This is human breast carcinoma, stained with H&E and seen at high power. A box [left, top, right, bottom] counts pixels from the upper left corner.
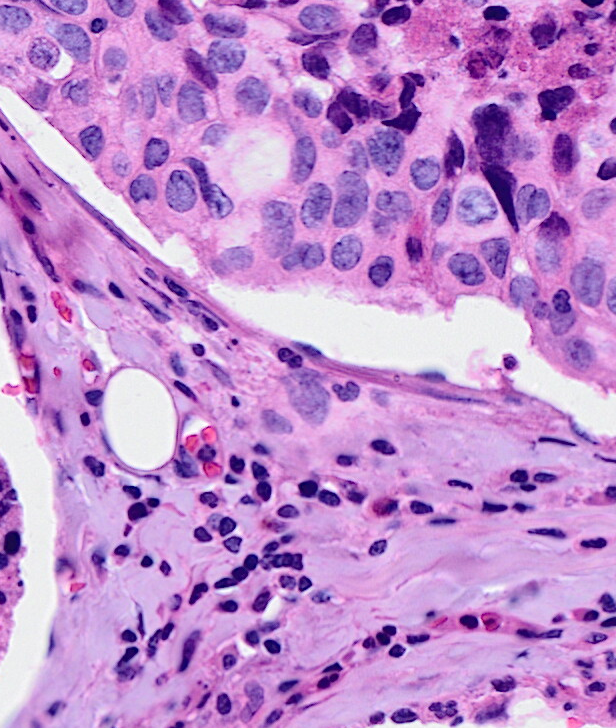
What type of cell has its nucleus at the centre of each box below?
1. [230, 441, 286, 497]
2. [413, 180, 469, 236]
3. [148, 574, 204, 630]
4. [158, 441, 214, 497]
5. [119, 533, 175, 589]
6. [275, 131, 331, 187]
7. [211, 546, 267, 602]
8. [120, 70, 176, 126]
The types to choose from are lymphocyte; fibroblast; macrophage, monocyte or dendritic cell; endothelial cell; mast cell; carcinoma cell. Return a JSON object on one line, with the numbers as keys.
{"1": "lymphocyte", "2": "carcinoma cell", "3": "mast cell", "4": "endothelial cell", "5": "lymphocyte", "6": "carcinoma cell", "7": "lymphocyte", "8": "carcinoma cell"}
